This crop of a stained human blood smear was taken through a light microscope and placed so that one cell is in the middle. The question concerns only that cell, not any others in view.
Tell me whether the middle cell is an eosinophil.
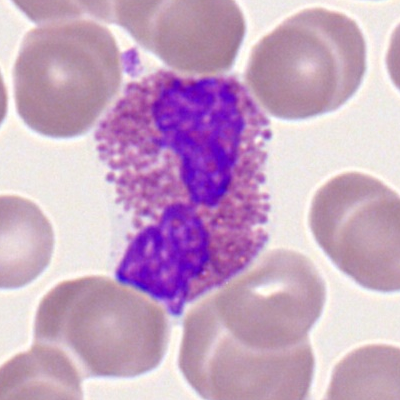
yes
